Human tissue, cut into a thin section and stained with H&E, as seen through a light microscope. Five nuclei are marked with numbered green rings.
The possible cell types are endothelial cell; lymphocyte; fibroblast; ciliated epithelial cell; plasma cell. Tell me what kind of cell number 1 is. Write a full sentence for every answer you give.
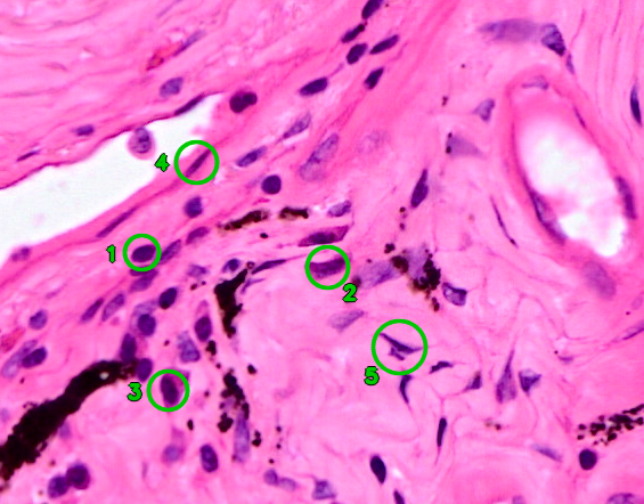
The correct label for cell 1 is a lymphocyte.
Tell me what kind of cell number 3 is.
The cell with the number 3 is a plasma cell.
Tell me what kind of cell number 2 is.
Nucleus 2 in this section belongs to a plasma cell.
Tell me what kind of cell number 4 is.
The nucleus labeled 4 belongs to an endothelial cell.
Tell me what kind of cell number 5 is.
The identity of cell 5 is that of a fibroblast.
